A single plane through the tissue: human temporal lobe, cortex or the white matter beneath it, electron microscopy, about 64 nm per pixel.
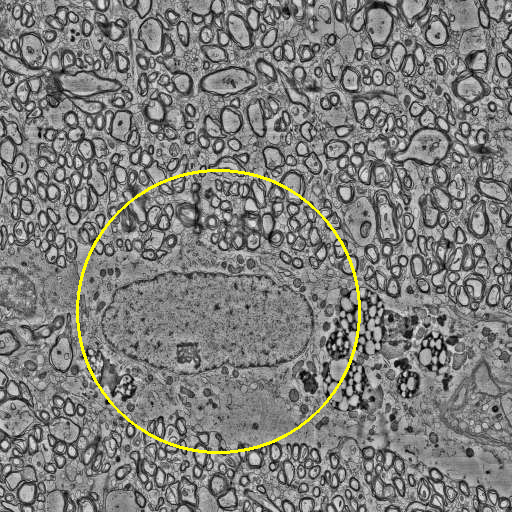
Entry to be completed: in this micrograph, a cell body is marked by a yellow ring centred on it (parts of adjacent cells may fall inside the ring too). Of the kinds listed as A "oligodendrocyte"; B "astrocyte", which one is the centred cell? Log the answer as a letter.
B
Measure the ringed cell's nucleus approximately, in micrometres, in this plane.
The nucleus comes to approximately 13 by 7 micrometres and is clearly longer than it is wide in this plane.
